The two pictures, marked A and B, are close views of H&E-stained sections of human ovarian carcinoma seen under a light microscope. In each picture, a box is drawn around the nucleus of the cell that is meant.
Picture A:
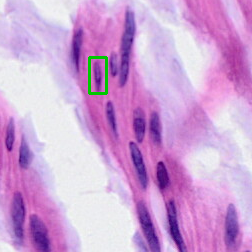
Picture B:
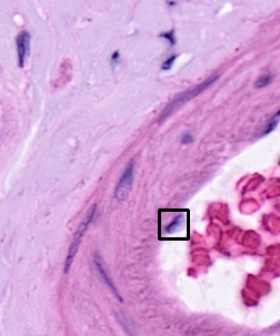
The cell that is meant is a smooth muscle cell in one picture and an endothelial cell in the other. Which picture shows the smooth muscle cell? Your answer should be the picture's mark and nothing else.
A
